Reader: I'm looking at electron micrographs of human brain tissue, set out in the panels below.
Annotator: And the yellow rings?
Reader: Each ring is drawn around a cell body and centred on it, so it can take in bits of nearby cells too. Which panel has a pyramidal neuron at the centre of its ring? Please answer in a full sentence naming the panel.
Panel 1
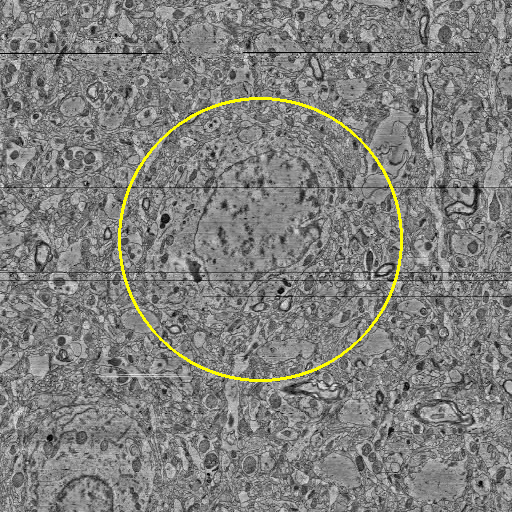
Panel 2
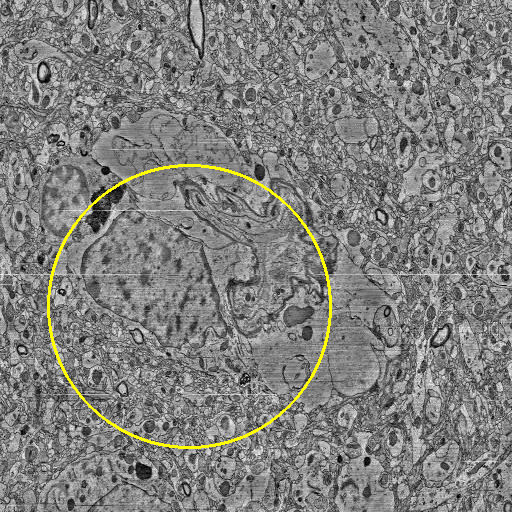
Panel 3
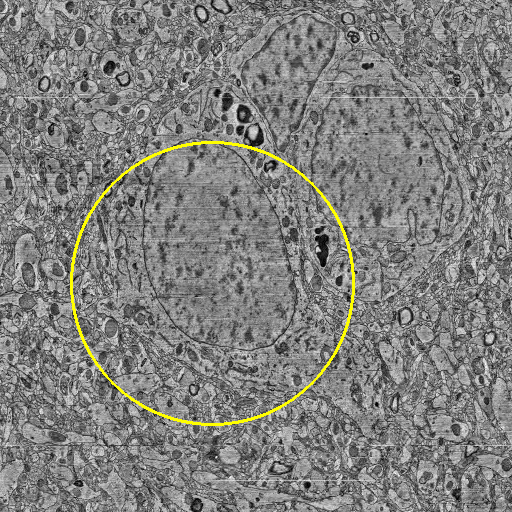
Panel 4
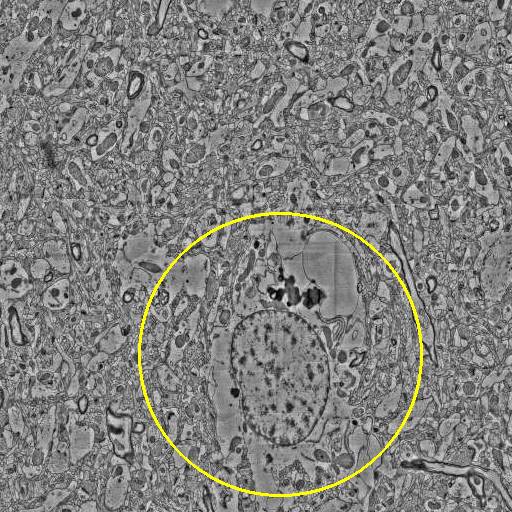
Panel 3 has it at the centre of its ring.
